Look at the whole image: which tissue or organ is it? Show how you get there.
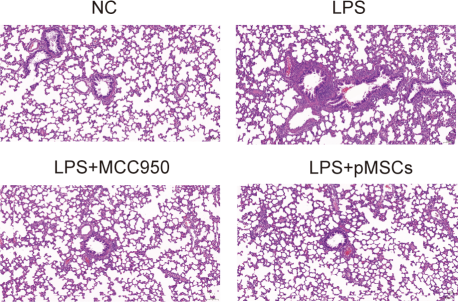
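Lung tissue. Lace-like network of thin septa around many small open air spaces. Round airways with a folded lining epithelium and accompanying blood vessels lie within the meshwork.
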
